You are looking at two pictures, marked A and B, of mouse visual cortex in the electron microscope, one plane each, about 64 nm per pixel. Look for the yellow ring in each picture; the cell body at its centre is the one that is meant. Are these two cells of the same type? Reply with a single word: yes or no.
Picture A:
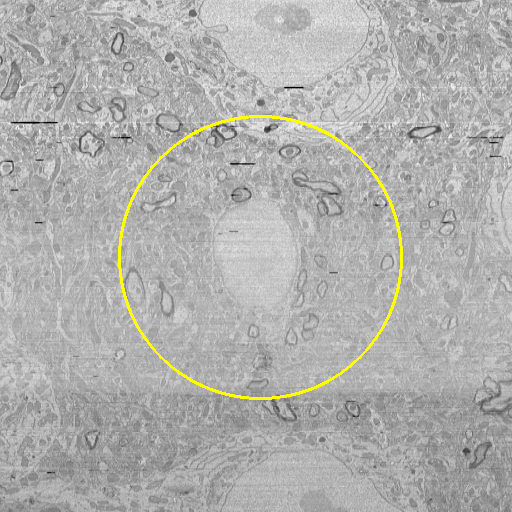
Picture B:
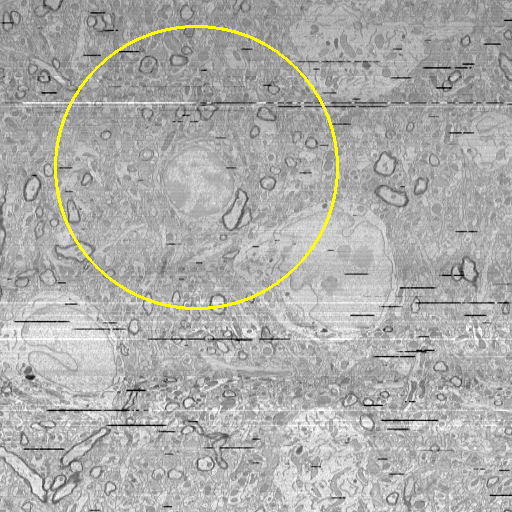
no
